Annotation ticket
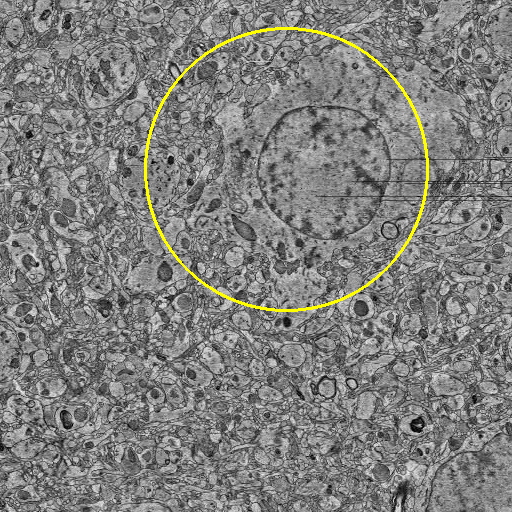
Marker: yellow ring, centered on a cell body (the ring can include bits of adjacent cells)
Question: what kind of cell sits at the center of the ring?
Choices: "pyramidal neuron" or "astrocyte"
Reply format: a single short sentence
The ring is centered on an astrocyte.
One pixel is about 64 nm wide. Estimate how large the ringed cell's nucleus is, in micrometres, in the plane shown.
About 9 micrometres across in this plane.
